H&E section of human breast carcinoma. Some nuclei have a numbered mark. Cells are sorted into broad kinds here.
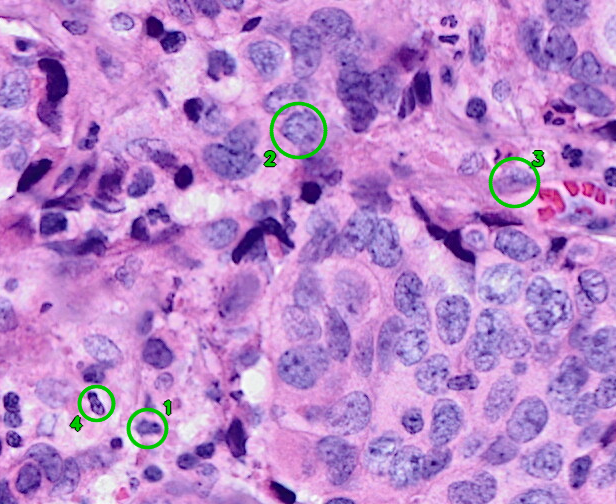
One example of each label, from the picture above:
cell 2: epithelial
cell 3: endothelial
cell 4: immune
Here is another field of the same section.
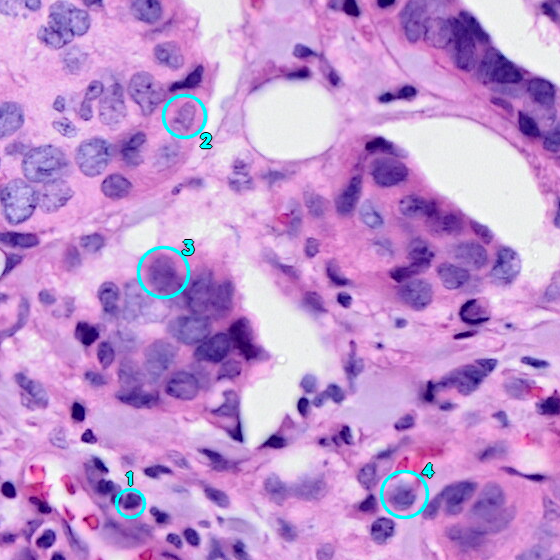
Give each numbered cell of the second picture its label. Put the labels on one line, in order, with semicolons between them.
immune; epithelial; epithelial; endothelial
